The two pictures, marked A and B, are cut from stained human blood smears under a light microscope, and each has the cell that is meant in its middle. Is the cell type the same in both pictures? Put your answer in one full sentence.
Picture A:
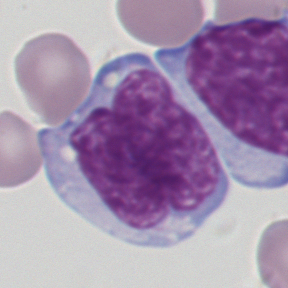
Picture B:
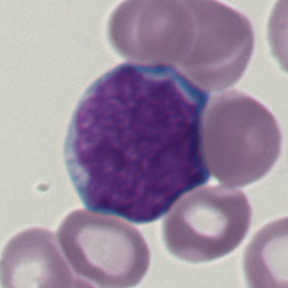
Yes, both are myeloblasts.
